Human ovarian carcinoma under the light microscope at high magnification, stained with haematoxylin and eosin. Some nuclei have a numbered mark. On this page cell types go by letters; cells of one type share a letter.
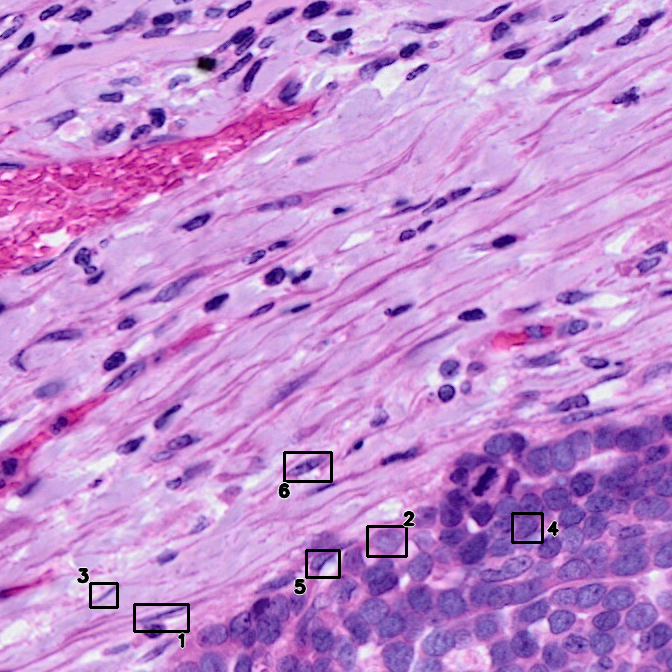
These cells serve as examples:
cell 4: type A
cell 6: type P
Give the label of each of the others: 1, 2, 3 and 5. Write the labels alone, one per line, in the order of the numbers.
type P
type A
type P
type P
